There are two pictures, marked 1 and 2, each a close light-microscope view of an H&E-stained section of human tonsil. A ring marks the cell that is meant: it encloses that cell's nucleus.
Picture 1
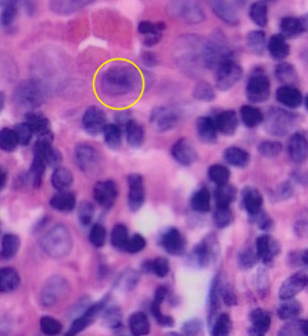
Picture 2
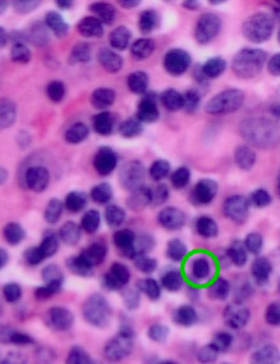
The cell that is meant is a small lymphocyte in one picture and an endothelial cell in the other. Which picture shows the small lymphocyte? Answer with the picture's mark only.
2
